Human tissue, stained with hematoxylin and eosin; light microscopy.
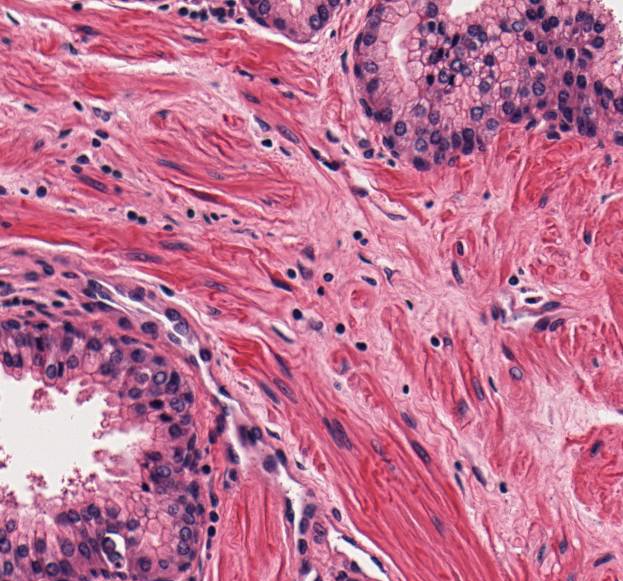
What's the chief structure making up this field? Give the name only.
fibromuscular stroma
